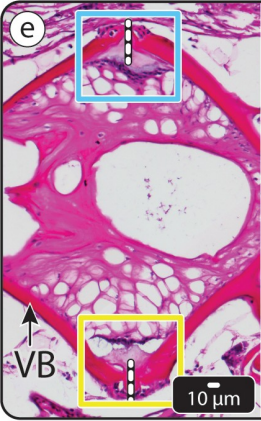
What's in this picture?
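Bright pink bone forms the outer walls, thickening into wedges above and below. The interior is filled with notochord tissue: large, clear vacuolated cells with thin pink walls form a foamy meshwork, with one very large central vacuole. At the top and bottom, where the bone wedges meet, thin layers of flattened cells with dark purple nuclei line the inner surface, marking the zone between neighbouring vertebrae indicated by the dashed lines.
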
